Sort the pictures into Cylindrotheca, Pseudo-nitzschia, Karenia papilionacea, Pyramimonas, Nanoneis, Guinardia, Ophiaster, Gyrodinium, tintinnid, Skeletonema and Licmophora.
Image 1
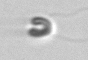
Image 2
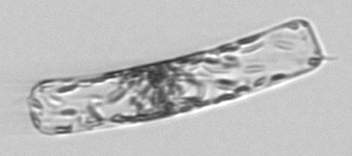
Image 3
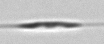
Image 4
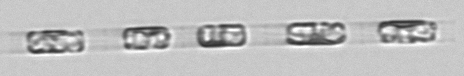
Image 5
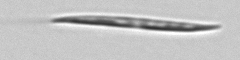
Pyramimonas: 1
Guinardia: 2
Cylindrotheca: 3
Skeletonema: 4
Pseudo-nitzschia: 5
